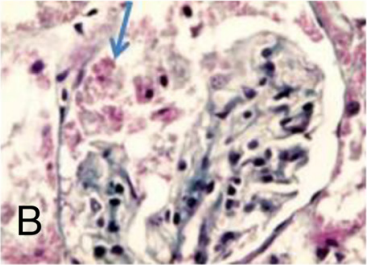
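A glomerulus is shown within its capsule, with the tuft occupying the right part of the field. Much of the tuft is taken up by blue-green fibrous material, among which dark, elongated and oval nuclei are scattered. The space between the tuft and the capsule on the left is wide and contains pink-red granular material together with a few cells. A thin capsular outline bounds the glomerulus, and pale tubular tissue lies outside it.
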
